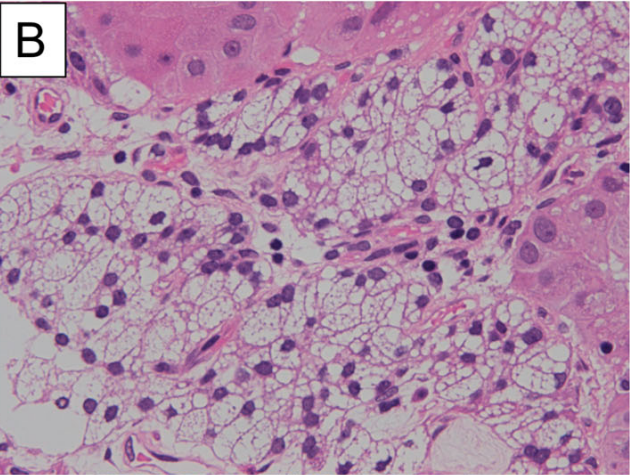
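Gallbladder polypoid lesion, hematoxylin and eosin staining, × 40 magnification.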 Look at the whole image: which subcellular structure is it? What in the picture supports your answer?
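Multivacuolated clear cytoplasm. The cytoplasm of most cells is pale and filled with many small clear vacuoles. The nuclei are small, round and dark, sitting among the vacuoles.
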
